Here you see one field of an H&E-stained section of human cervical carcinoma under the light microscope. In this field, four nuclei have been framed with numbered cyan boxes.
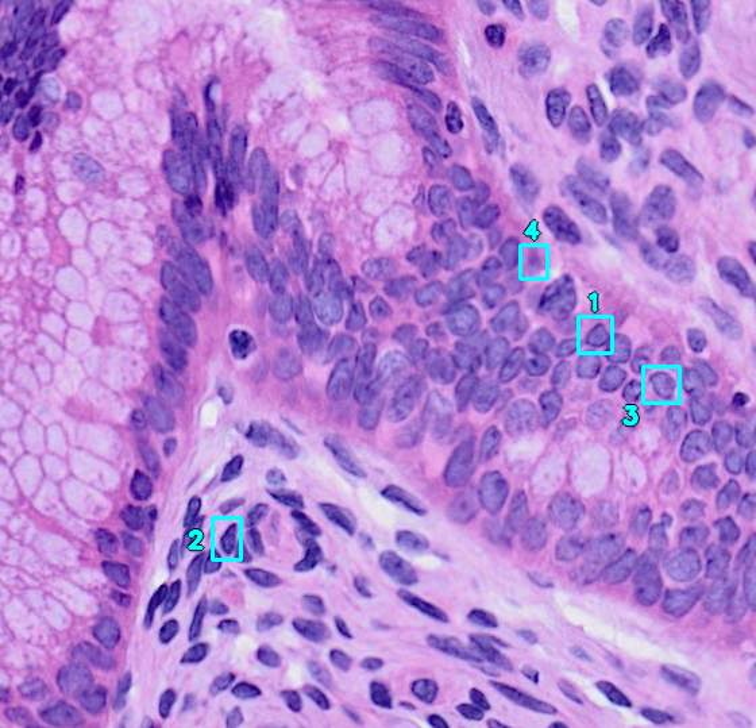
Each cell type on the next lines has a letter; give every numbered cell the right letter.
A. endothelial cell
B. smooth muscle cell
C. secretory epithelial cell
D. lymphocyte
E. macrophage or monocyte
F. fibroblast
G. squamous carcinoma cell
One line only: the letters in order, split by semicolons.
C; F; C; C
